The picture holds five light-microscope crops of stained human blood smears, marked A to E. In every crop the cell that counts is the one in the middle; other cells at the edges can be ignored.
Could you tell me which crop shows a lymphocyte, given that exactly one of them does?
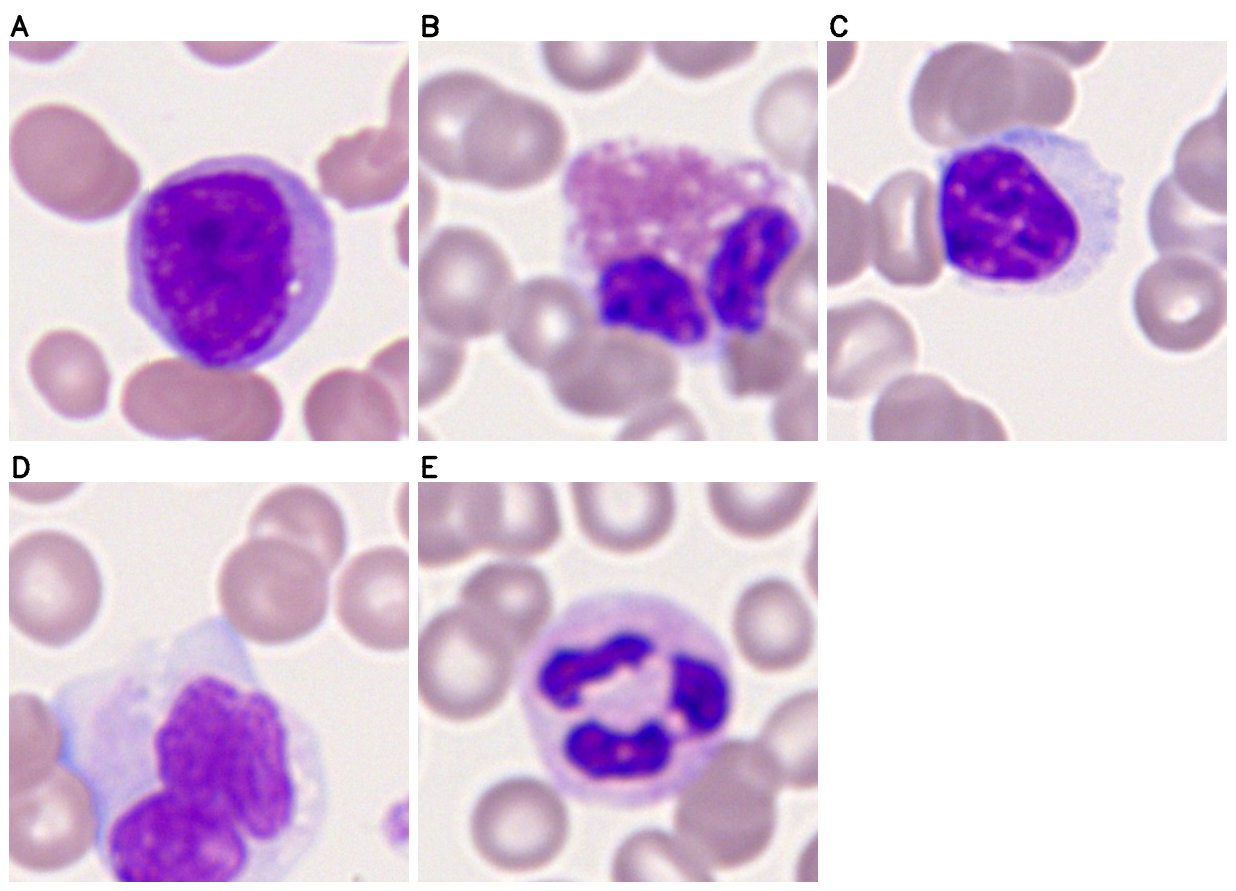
C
